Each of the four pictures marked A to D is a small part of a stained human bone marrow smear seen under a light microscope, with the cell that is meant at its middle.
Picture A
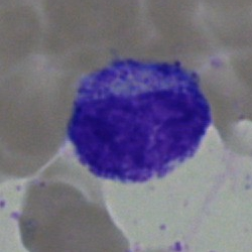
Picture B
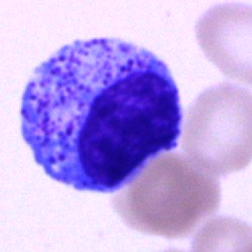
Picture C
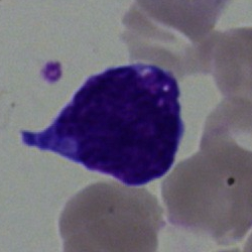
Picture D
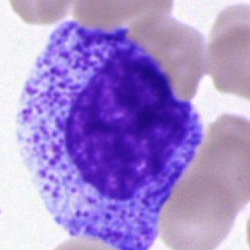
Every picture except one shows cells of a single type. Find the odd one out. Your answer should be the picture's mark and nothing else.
C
